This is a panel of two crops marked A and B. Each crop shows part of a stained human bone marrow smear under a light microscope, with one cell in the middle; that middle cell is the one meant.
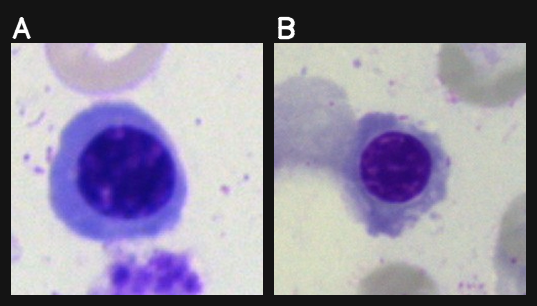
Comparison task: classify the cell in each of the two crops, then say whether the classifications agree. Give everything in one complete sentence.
Yes, normoblasts are at the centre in both crops.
